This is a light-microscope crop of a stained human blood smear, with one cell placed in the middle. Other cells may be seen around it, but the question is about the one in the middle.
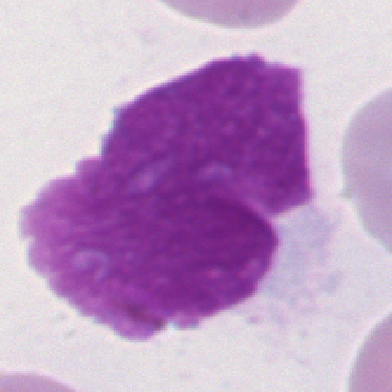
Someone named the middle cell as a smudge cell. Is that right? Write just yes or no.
yes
